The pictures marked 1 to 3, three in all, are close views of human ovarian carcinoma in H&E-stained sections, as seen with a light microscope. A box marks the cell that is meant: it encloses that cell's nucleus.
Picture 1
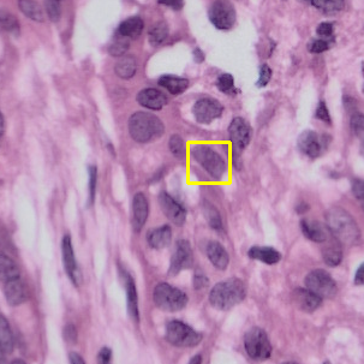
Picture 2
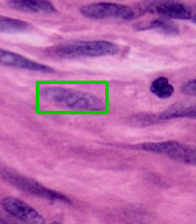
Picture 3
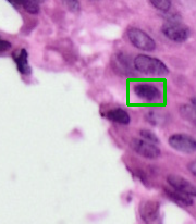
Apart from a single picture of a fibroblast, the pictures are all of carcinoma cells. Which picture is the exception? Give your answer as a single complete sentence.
It is picture 2 that shows the fibroblast.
